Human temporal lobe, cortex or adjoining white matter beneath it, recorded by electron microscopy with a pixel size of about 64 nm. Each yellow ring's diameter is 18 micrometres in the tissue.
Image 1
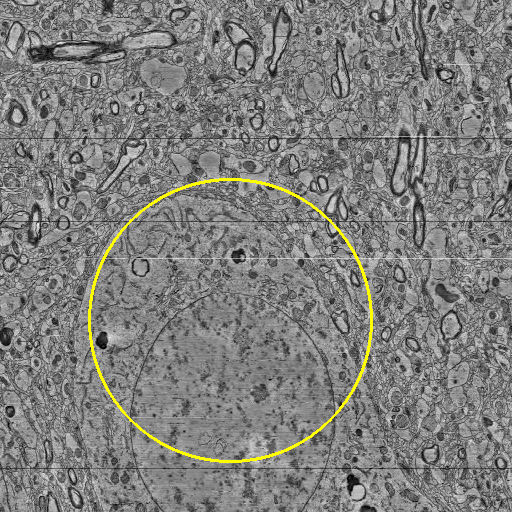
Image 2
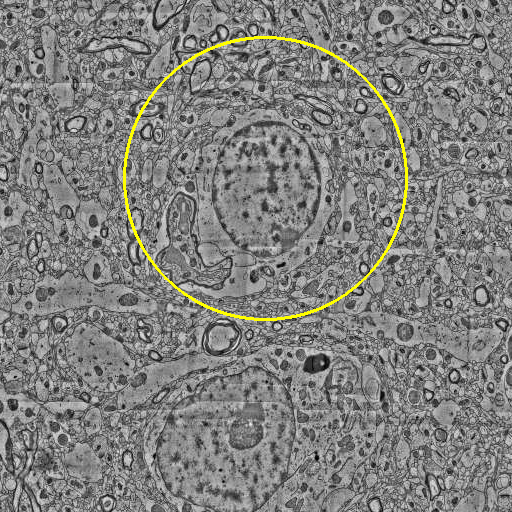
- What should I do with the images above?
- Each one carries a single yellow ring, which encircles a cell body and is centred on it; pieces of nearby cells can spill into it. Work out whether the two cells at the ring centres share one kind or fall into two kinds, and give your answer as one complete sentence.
The ring-centre cells of Image 1 and Image 2 fall into two kinds.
